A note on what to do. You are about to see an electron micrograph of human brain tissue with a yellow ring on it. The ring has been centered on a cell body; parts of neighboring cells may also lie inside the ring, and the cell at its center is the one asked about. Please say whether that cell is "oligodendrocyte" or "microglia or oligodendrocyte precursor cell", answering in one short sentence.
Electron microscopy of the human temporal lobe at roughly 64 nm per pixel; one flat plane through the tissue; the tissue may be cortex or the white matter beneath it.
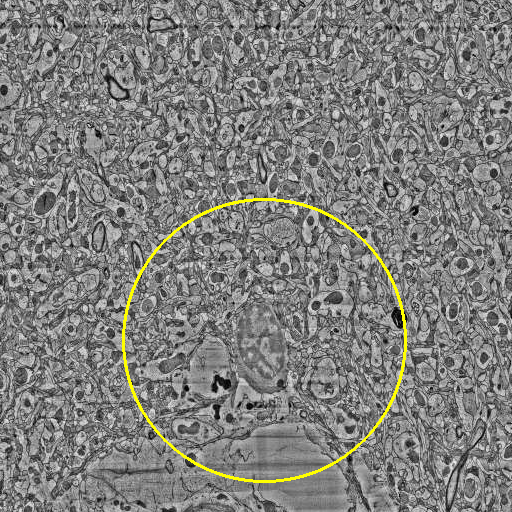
The yellow ring sits on an oligodendrocyte.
